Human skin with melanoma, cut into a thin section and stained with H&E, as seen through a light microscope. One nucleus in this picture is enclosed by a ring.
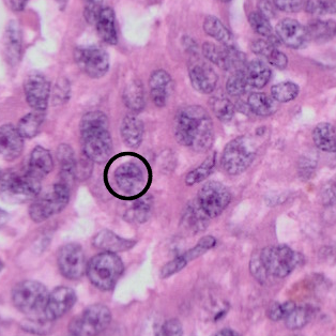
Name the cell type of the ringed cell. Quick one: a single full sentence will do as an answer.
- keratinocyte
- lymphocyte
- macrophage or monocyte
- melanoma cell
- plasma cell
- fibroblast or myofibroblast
Right, so the ringed cell is a melanoma cell, to answer that.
